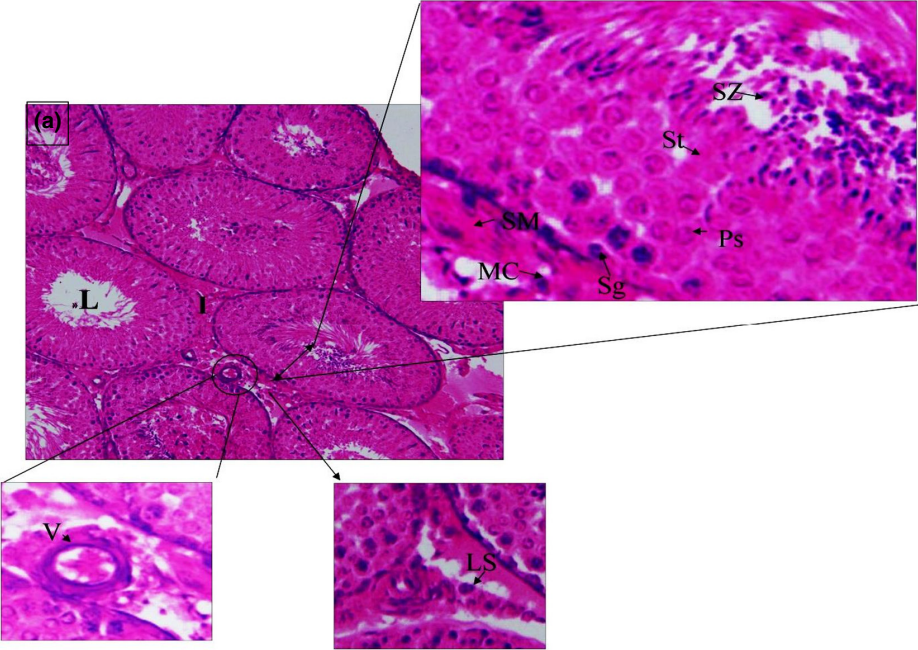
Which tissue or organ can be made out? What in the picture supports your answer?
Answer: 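Narrow connective tissue with a vessel lies between the tubules.
Conclusion: Testis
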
